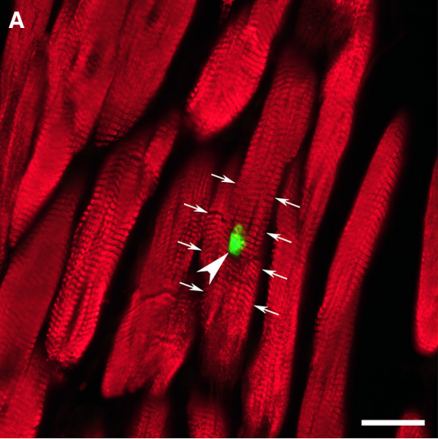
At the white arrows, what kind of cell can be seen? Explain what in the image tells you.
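The arrows line an elongated red cell. The cell shows regular cross-striations. So: cardiac myocyte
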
